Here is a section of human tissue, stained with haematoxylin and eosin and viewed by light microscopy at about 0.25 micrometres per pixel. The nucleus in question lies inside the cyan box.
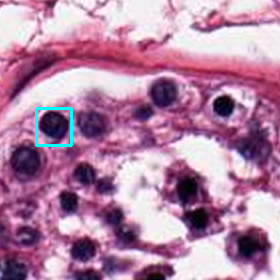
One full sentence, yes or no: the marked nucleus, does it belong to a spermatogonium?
Yes, the marked nucleus is that of a spermatogonium.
